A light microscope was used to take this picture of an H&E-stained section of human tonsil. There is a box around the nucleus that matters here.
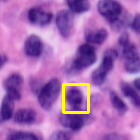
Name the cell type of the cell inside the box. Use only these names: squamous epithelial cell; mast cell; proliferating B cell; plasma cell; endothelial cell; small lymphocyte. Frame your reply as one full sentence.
Right, so the cell inside the box is a proliferating B cell, to answer that.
